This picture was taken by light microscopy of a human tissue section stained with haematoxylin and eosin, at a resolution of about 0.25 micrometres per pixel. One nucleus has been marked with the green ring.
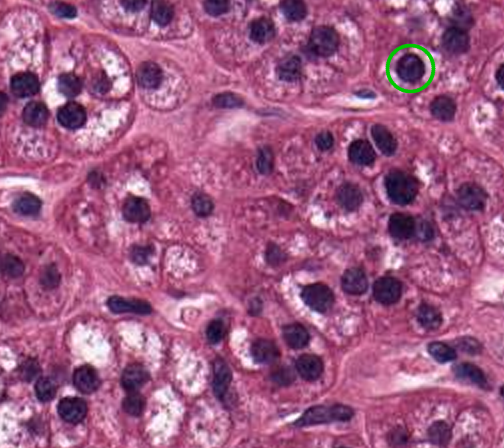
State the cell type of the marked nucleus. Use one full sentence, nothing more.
The nucleus marked in this picture belongs to an adrenal cortical cell.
